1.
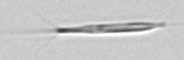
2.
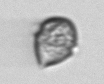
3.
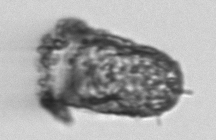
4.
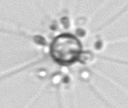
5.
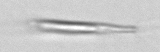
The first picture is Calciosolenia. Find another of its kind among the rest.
Picture 5.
